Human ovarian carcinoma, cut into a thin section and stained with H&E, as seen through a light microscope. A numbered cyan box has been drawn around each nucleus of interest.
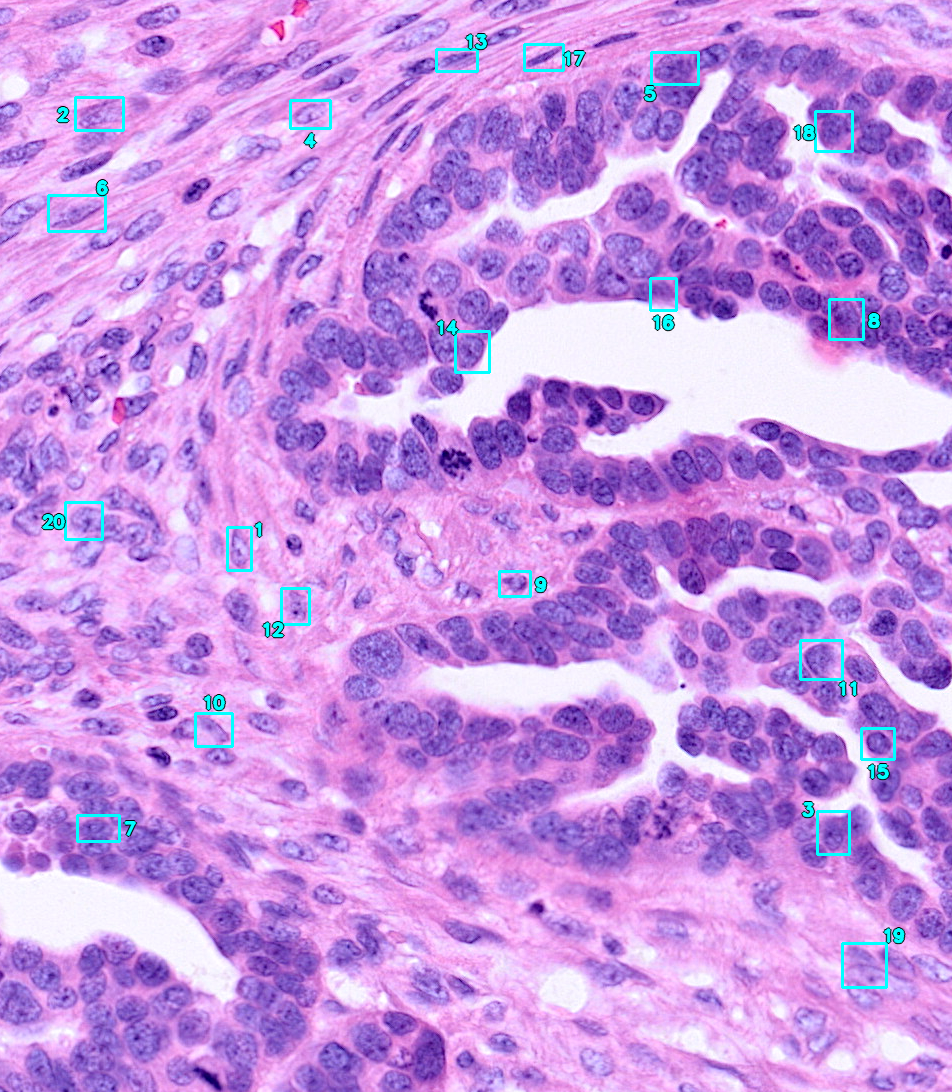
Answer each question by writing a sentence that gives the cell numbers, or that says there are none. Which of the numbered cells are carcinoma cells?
The cells numbered 3, 5, 7, 8, 11, 14, 15, 16 and 18 fall into the category of carcinoma cells.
